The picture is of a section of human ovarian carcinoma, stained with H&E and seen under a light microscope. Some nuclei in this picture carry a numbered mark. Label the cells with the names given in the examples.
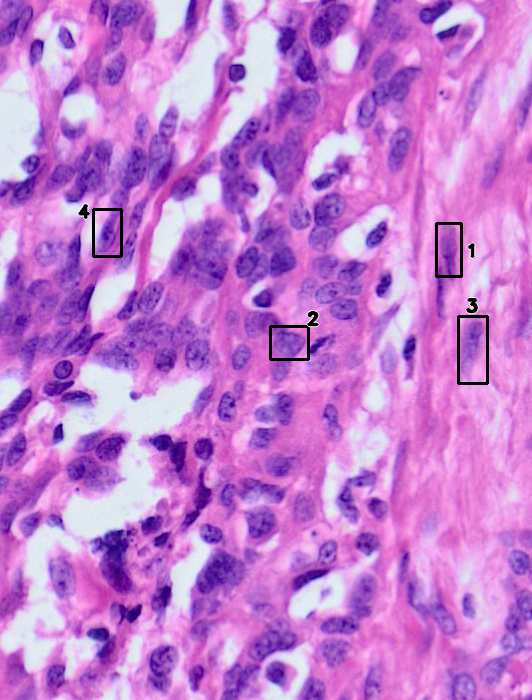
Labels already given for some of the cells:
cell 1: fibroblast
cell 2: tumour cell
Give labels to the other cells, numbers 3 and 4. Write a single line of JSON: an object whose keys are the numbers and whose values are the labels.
{"3": "fibroblast", "4": "tumour cell"}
